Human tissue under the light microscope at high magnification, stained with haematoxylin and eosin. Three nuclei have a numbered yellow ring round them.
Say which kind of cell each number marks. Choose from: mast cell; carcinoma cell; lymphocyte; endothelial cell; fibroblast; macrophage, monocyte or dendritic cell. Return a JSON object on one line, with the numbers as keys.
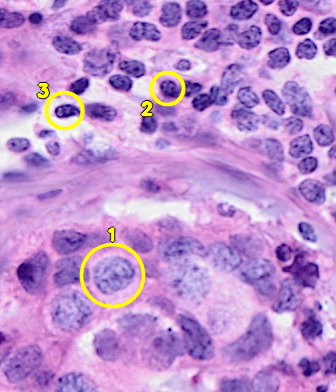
{"1": "carcinoma cell", "2": "lymphocyte", "3": "lymphocyte"}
